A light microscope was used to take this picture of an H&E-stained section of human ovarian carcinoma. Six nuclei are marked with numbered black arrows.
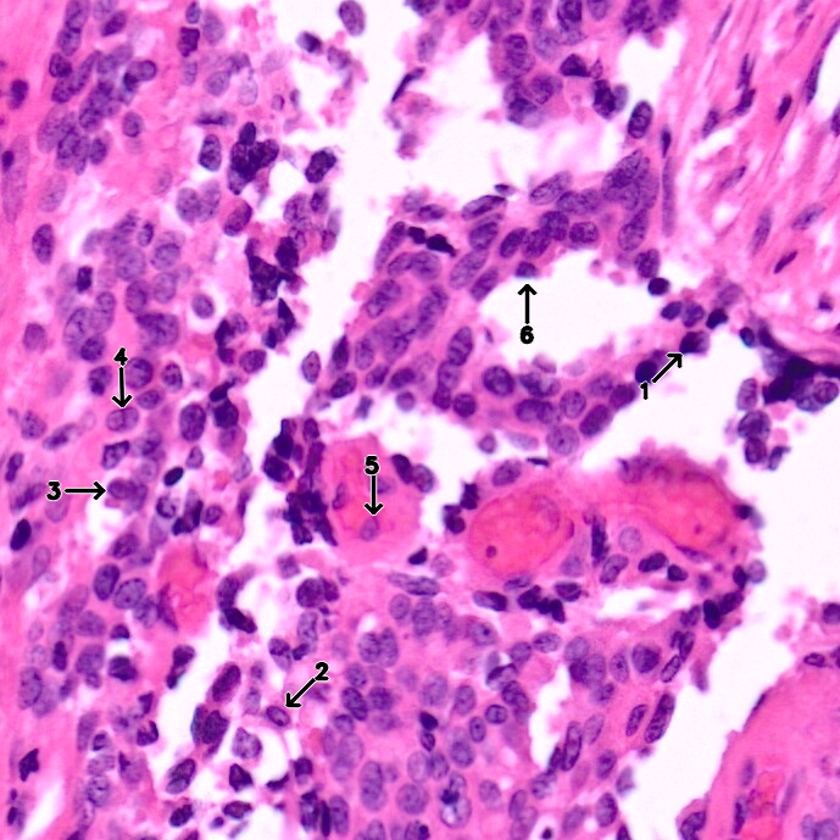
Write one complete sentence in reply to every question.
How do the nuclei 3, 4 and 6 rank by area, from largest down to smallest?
Largest first, the order by area is 4, 6, 3.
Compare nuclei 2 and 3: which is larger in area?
The larger nucleus is 2, at roughly 2 times the area of 3.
